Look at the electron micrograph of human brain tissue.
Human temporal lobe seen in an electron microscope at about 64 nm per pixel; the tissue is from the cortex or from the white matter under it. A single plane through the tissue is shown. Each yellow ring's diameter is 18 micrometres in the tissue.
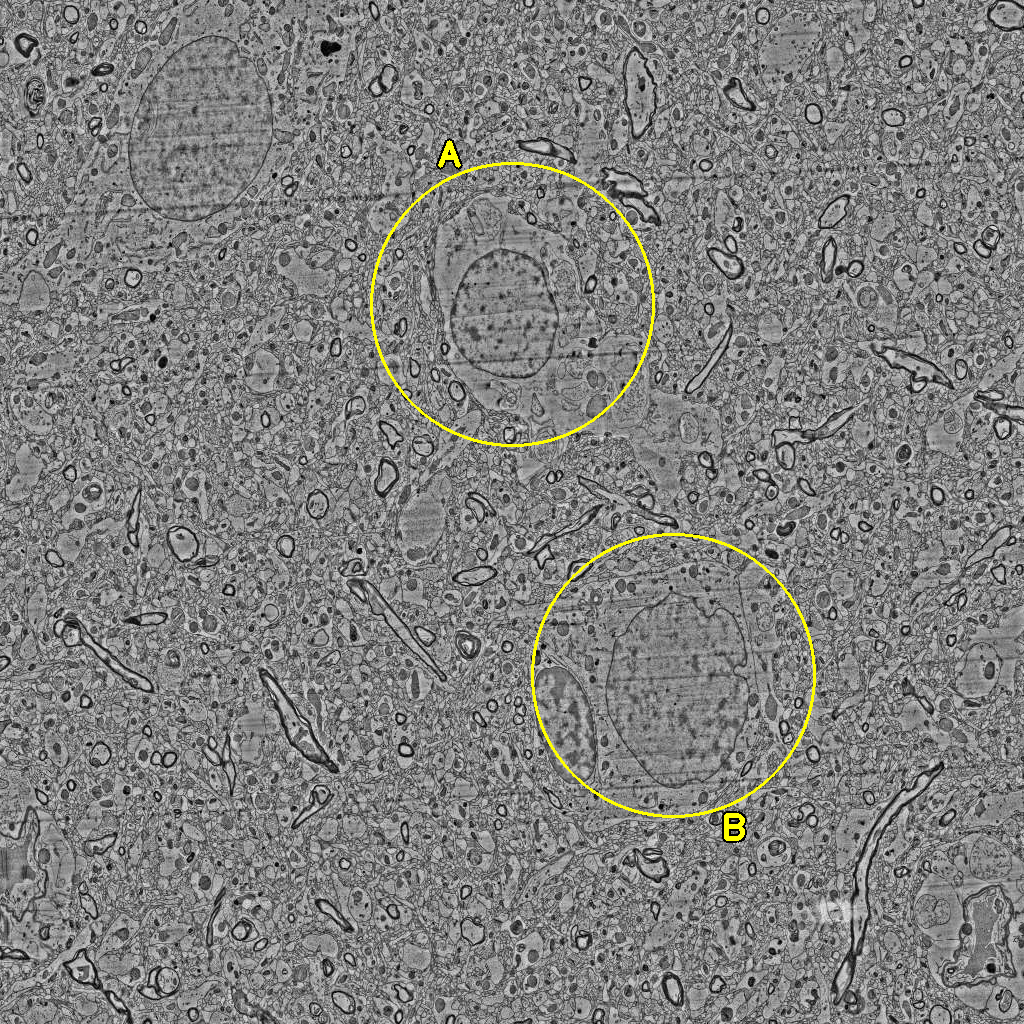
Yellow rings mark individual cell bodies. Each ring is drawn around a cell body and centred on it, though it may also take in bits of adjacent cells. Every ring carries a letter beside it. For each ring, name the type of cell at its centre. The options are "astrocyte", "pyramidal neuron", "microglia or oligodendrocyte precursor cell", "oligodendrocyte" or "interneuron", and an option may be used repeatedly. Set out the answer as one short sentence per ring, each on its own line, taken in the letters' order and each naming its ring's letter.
Ring A is drawn around an astrocyte.
Ring B is drawn around a pyramidal neuron.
